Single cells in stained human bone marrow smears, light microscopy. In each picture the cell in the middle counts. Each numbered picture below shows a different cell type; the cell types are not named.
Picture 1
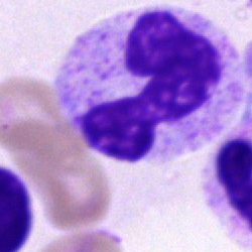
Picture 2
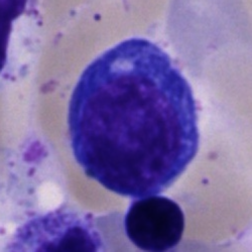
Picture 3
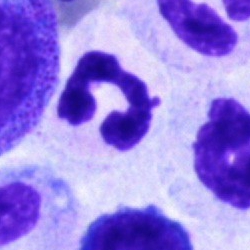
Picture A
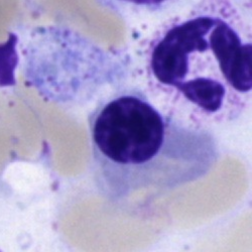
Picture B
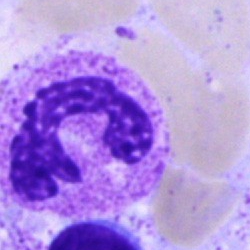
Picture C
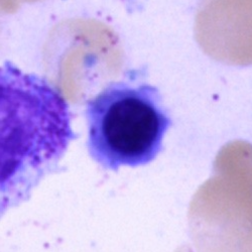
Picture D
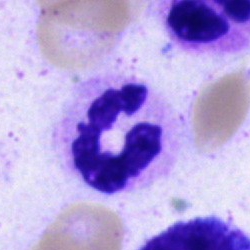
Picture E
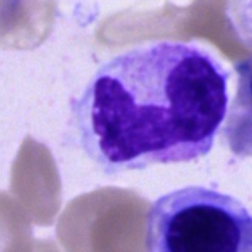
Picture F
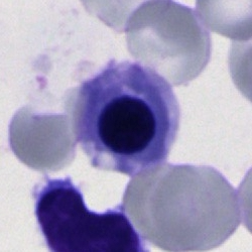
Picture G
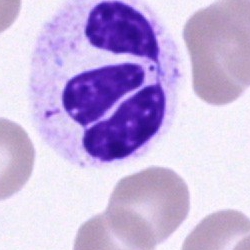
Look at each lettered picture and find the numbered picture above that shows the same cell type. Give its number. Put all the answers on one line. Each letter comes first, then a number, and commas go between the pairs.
A 2, B 3, C 2, D 3, E 1, F 2, G 3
